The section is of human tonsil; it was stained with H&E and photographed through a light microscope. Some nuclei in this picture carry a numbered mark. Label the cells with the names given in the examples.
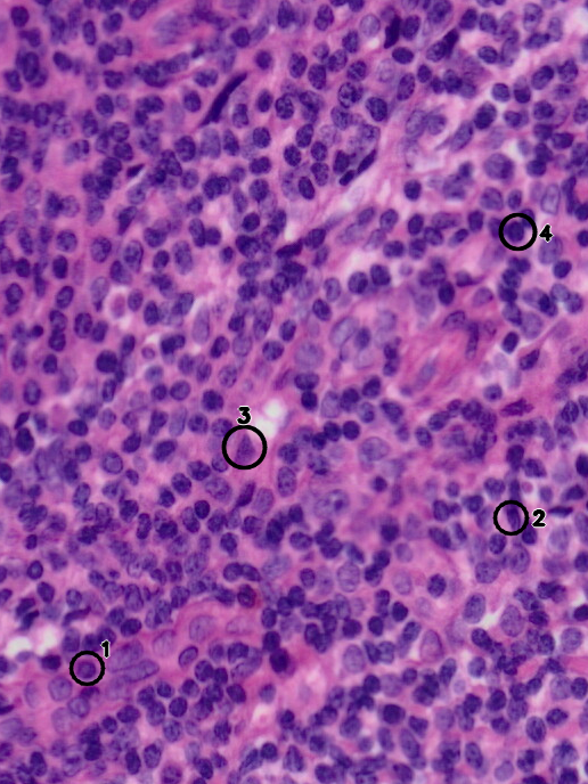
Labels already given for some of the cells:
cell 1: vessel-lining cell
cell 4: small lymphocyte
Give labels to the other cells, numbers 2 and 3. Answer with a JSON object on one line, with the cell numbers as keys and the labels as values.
{"2": "small lymphocyte", "3": "vessel-lining cell"}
